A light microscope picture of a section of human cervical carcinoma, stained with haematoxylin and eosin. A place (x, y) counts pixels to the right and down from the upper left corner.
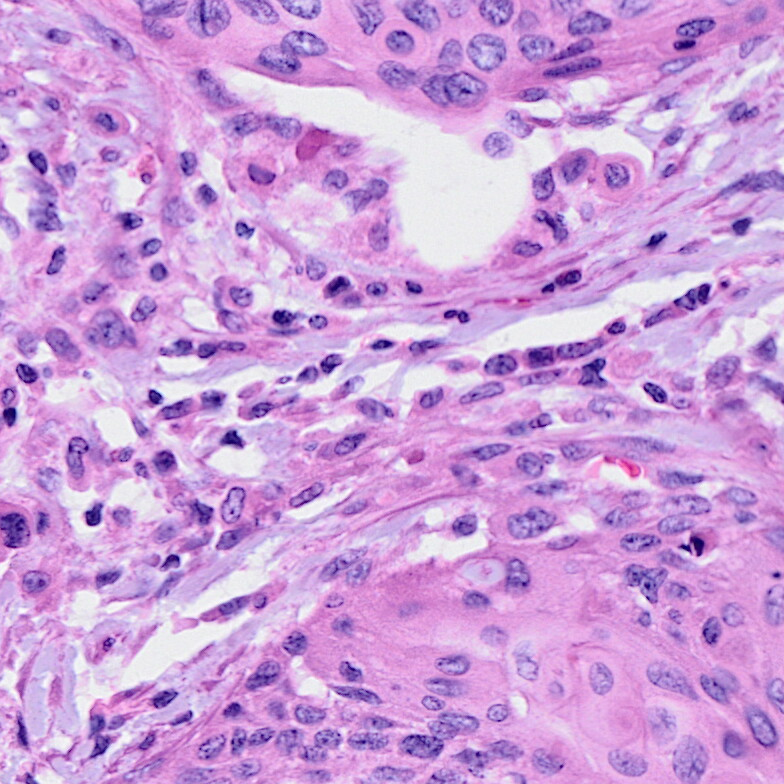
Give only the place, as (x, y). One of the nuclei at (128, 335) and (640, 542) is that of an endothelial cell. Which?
(128, 335)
